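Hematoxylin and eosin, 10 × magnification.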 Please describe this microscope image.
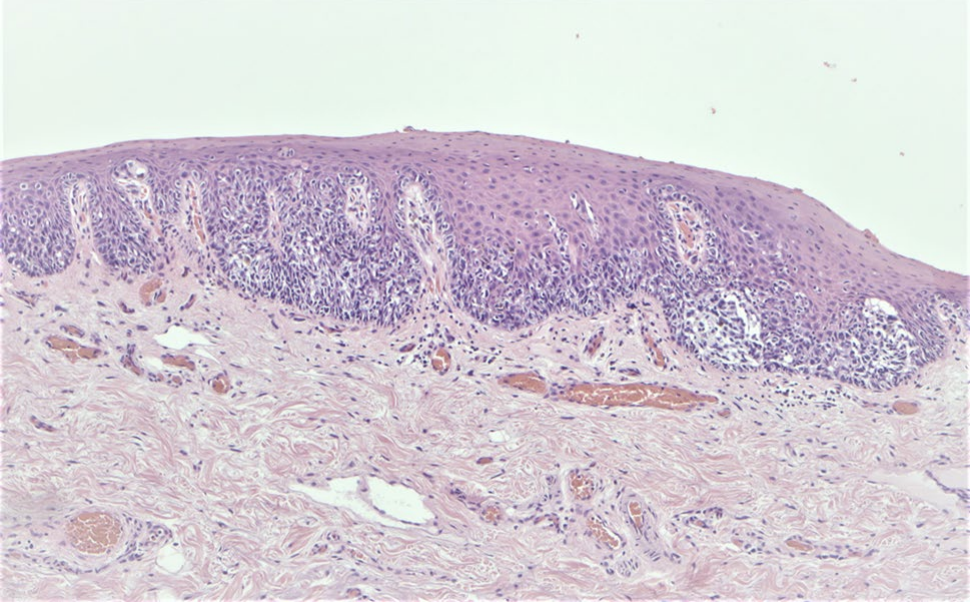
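A stratified squamous mucosal epithelium with nests of neoplastic melanocytes along its junction with the underlying stroma. The lower part of the epithelium is crowded with cells that have dark nuclei. Within it lie rounded clusters of cells with pale to clear cytoplasm. These clusters rest at the base of the epithelium against the stroma. The upper layers are made of pink squamous cells that flatten toward the surface. The stroma below is loose pink connective tissue with many small vessels filled with red blood cells.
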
